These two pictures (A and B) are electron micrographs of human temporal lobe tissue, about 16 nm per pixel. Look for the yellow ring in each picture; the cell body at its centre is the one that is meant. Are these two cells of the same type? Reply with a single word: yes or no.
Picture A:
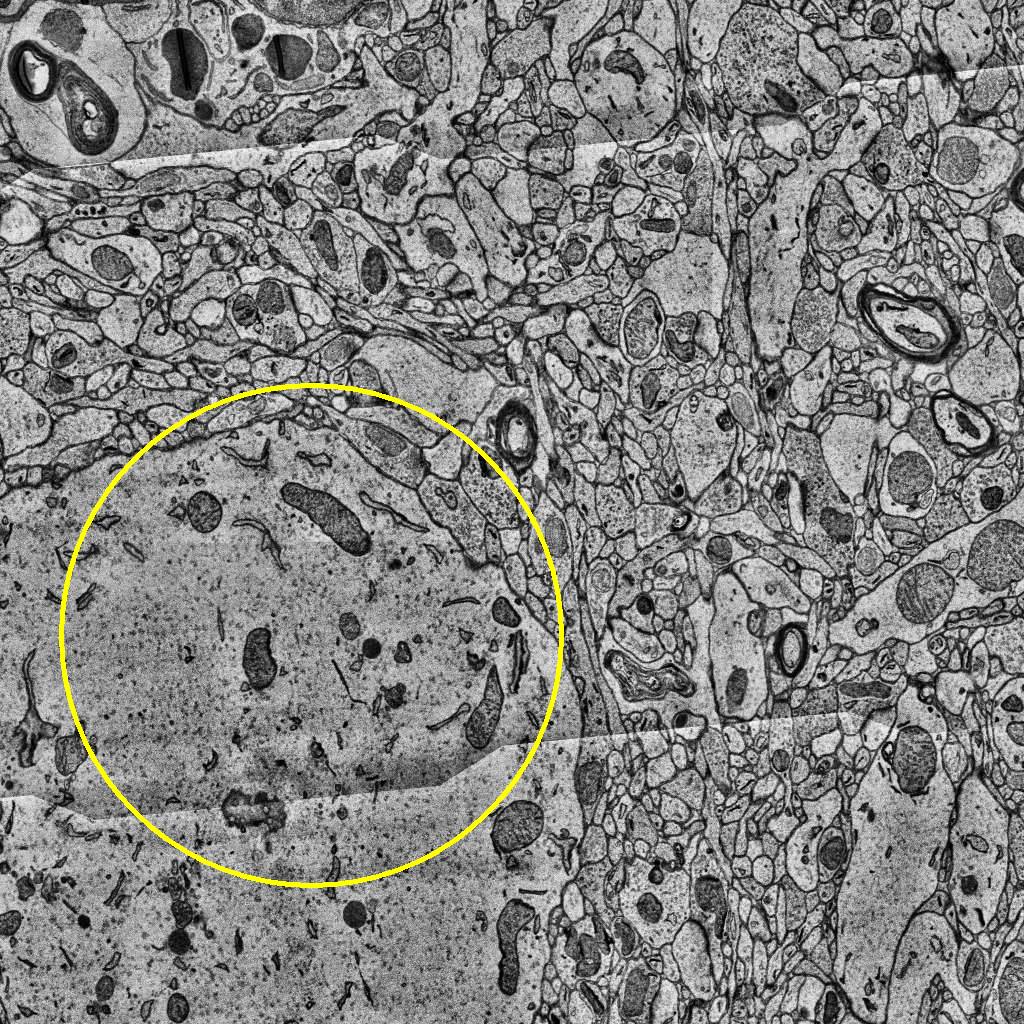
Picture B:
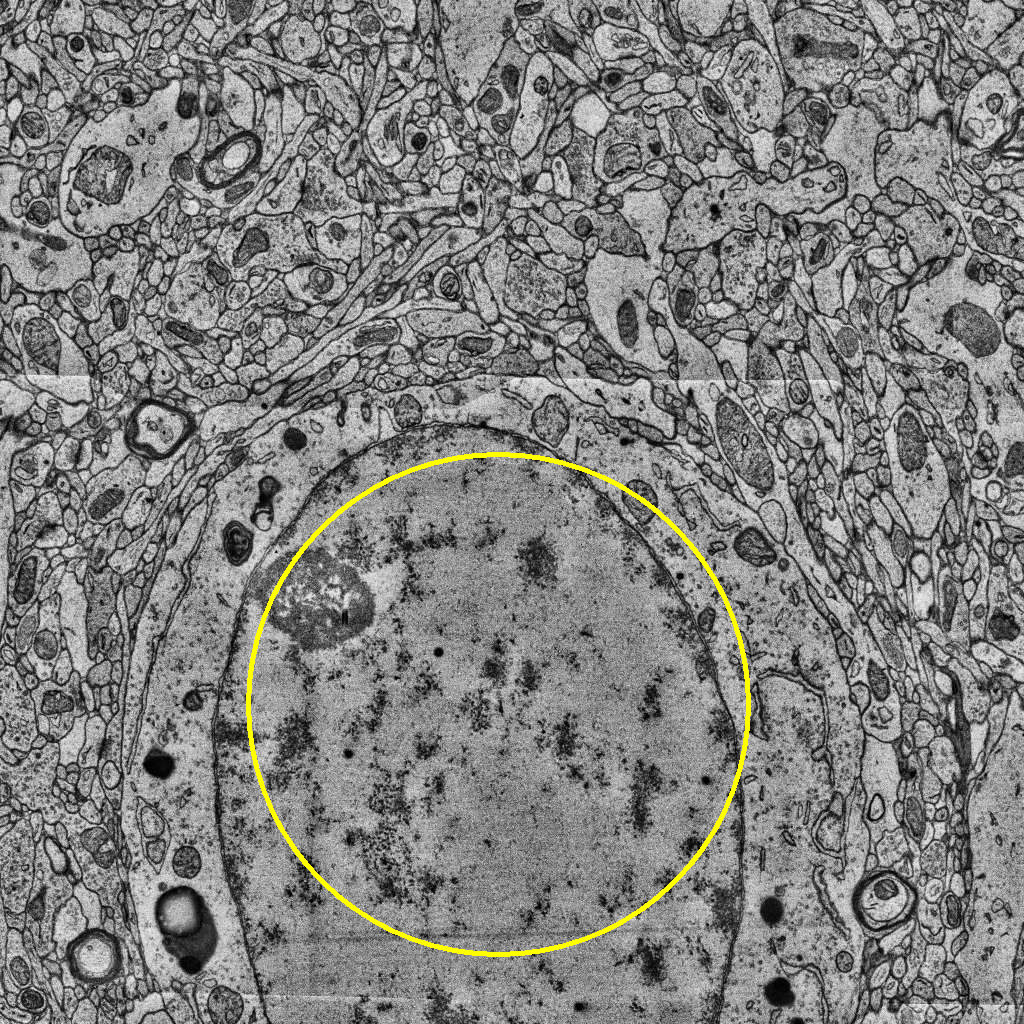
yes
